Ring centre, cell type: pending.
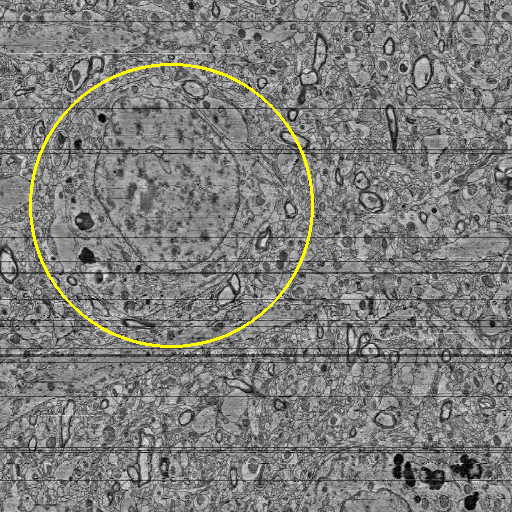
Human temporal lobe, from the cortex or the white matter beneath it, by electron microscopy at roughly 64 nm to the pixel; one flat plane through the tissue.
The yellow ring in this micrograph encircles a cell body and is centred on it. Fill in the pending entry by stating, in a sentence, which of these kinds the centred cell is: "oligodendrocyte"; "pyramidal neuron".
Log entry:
The centred cell is recorded as a pyramidal neuron.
